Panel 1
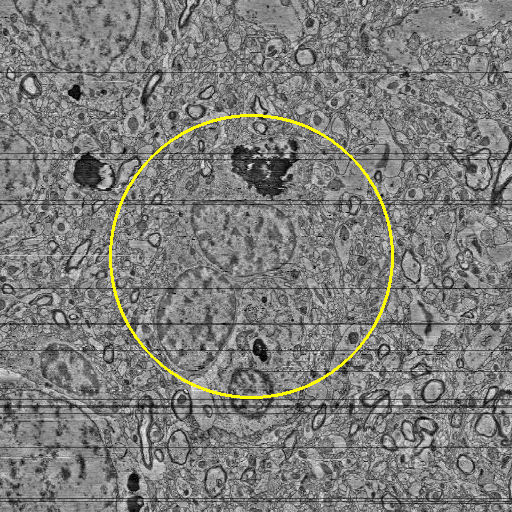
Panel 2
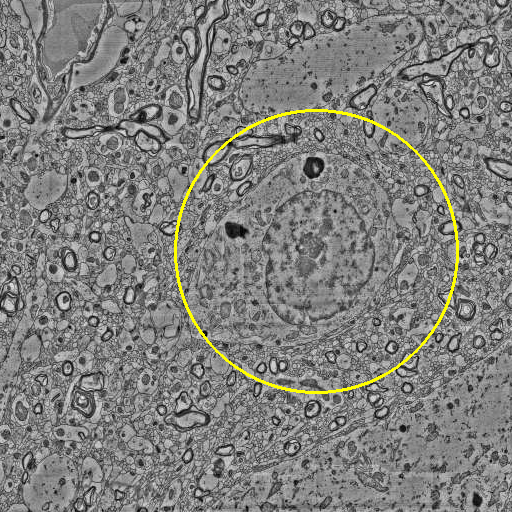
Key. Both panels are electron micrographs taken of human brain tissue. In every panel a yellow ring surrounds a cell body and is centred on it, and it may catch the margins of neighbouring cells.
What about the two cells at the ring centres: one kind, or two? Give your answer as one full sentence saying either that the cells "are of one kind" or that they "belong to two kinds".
Across Panels 1 and 2, the two cells at the ring centres belong to two kinds.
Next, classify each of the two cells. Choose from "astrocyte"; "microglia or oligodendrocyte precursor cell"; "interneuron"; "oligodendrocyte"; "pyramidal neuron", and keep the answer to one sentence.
In the first picture it is an oligodendrocyte; in the second it is an interneuron.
